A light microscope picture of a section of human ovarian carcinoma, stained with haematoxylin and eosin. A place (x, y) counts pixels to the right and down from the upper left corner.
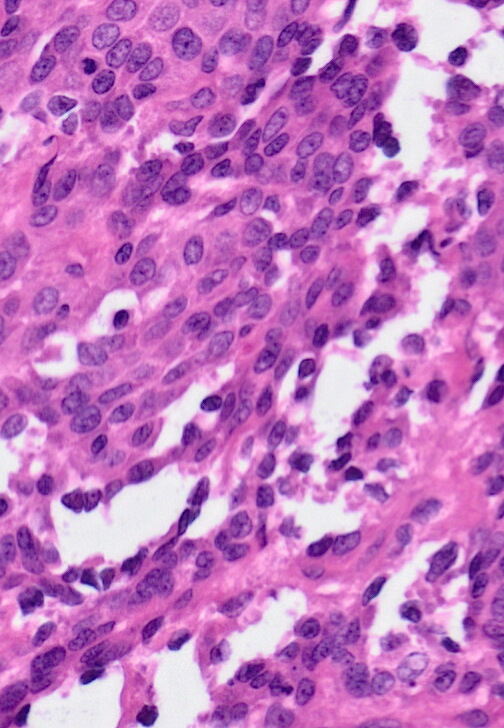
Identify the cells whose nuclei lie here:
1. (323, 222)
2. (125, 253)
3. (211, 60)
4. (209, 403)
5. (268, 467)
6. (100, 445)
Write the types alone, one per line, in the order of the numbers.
carcinoma cell
macrophage or monocyte
carcinoma cell
carcinoma cell
carcinoma cell
macrophage or monocyte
